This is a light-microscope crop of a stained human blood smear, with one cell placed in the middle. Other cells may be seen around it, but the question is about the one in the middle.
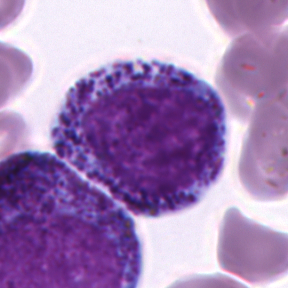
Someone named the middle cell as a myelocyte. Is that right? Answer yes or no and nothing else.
no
